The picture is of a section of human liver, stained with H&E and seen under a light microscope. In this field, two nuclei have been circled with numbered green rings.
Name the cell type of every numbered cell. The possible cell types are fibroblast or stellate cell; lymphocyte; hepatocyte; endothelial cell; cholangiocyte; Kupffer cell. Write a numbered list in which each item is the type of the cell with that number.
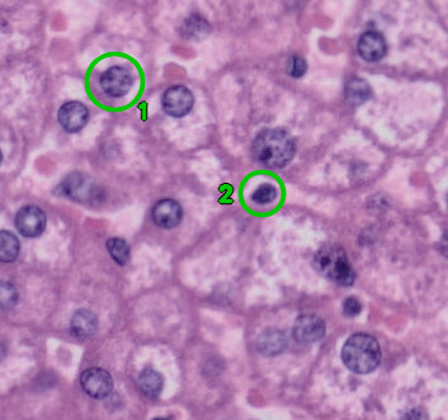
1. hepatocyte
2. lymphocyte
